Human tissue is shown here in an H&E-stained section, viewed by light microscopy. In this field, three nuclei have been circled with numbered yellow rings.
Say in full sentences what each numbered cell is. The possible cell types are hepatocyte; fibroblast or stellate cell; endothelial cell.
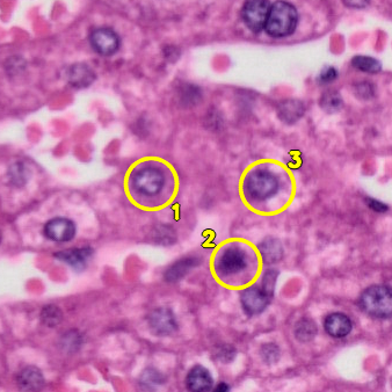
Cell 1 is a hepatocyte, cell 2 is a fibroblast or stellate cell and cell 3 is a hepatocyte.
